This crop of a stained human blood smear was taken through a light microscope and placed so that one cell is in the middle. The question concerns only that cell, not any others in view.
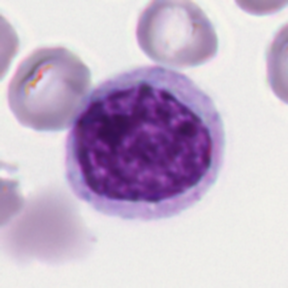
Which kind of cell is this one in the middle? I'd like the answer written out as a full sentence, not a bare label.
As for the cell in the middle, it is a myelocyte.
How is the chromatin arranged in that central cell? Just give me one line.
One feature to record is coarsely clumped chromatin.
